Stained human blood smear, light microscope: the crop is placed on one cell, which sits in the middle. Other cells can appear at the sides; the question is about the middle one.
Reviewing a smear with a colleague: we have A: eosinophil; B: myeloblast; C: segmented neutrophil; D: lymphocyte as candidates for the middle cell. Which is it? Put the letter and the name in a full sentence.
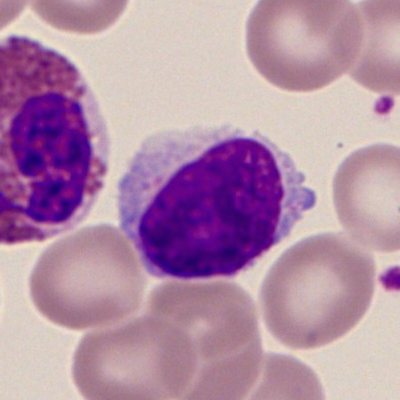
Option D stands as correct, the central cell being a lymphocyte.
